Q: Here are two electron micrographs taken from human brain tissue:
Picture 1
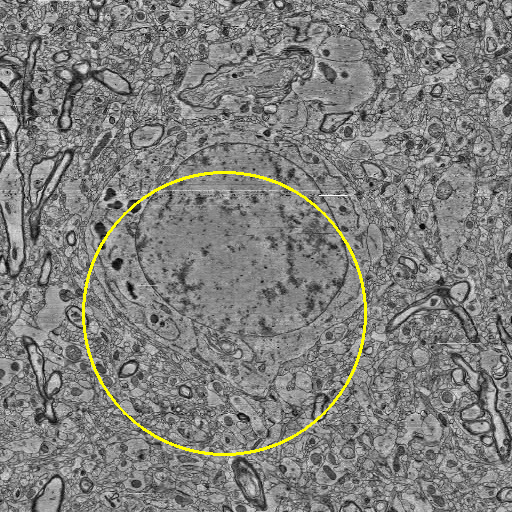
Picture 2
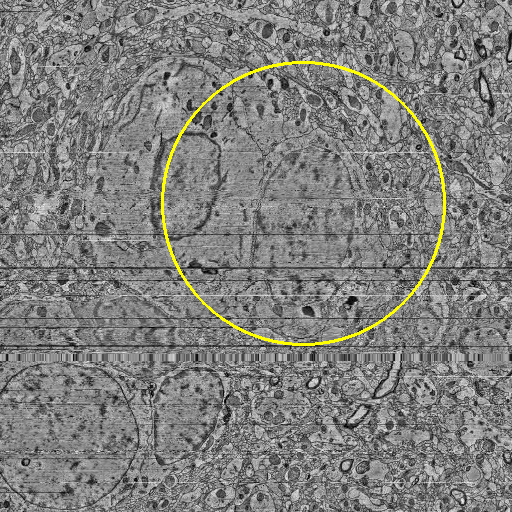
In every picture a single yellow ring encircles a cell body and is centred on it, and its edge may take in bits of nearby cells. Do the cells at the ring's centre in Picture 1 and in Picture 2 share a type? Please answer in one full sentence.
No, the cells at the ring's centre in Picture 1 and Picture 2 are of two types.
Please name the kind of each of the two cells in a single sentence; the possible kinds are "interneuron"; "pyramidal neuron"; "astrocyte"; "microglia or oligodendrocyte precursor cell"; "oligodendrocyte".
In the first picture the ring is centred on a pyramidal neuron, and in the second on an interneuron.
